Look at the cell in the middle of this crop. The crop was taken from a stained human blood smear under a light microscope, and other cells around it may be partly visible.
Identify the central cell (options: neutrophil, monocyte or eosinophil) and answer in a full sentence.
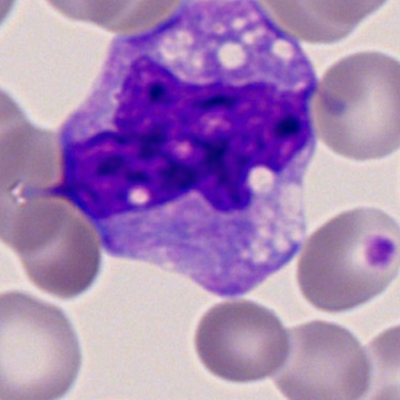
Of the cells in this crop, the central one is a monocyte.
